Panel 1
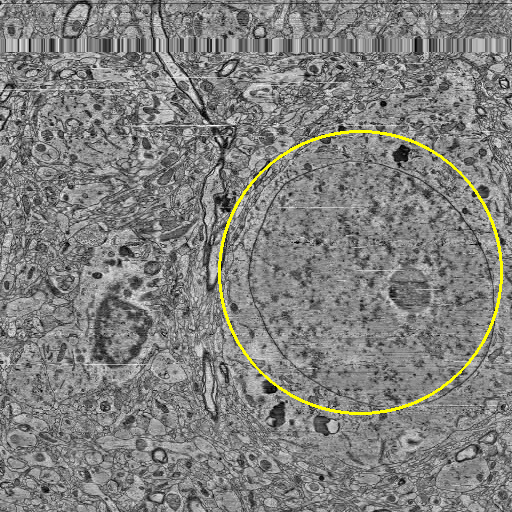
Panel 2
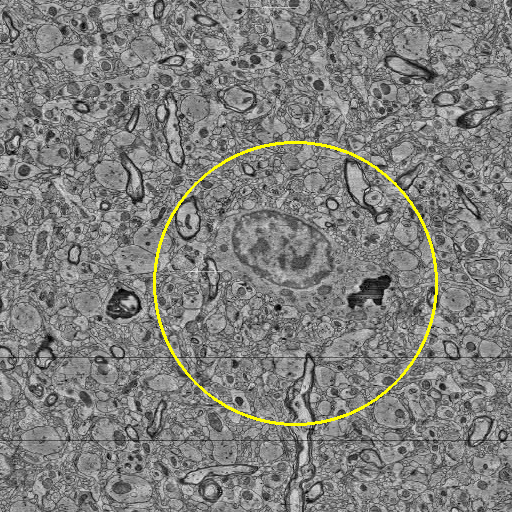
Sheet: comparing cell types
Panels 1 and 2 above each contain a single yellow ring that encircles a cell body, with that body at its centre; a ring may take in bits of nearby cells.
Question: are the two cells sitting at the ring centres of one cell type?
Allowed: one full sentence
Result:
No, the ring-centre cells in Panel 1 and Panel 2 are of two types.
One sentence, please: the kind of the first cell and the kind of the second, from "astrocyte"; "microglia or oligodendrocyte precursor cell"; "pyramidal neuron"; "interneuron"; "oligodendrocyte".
The ring in the first picture surrounds a pyramidal neuron, and the ring in the second surrounds an oligodendrocyte.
